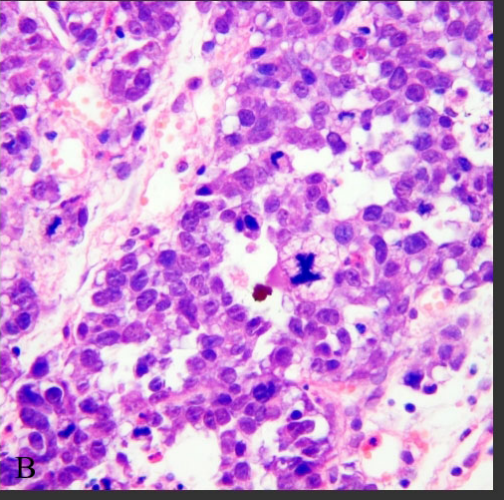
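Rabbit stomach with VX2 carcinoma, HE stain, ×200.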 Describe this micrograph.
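Sheets of large, loosely cohesive tumor cells fill the field, separated by thin strands of pale, loose stroma with a few red blood cells. Nuclei vary markedly in size. Scattered among them are several dividing cells whose chromatin is condensed into dark, irregular, spiky masses, unlike orderly normal division. Clear spaces and small vacuoles lie between the cells, giving the sheet a loose, discohesive look.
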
